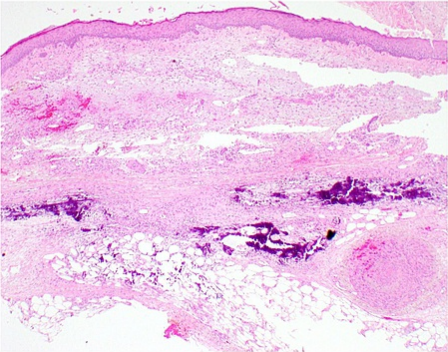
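Low-power section of skin with a thin epidermis at the top, a pale, loosely textured dermis below and fat of the subcutis at the bottom. Irregular, dark purple calcified deposits run in bands through the deep dermis and along the upper fat, and bright red patches of extravasated red blood cells lie in the tissue.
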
